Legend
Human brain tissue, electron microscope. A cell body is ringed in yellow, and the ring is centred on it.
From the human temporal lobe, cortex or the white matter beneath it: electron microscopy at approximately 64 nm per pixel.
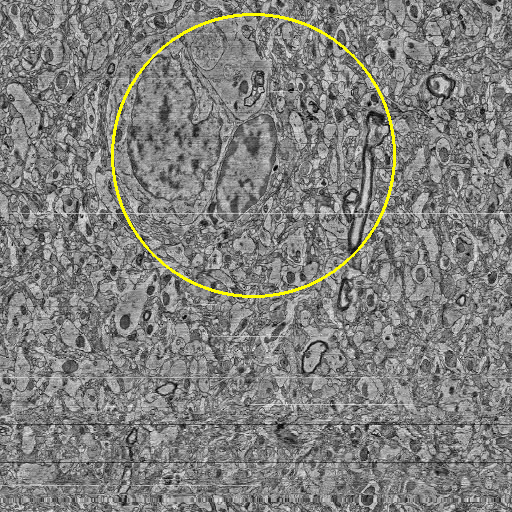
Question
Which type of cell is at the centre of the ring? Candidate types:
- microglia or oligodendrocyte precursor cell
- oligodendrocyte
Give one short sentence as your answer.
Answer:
The yellow ring is centred here on a microglial cell or oligodendrocyte precursor cell.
